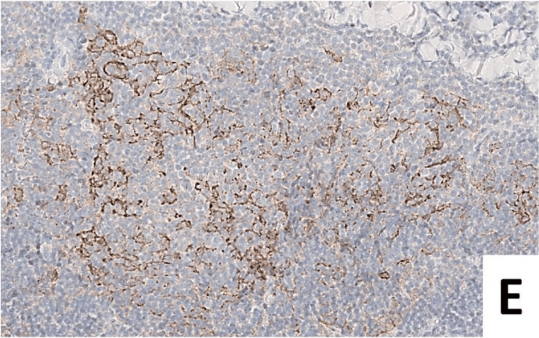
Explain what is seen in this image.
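Brown stain outlines fine, branching, web-like processes forming patchy, loosely connected meshes among densely packed small round cells with blue nuclei, which are themselves unstained. The meshwork is uneven in density and lacks a rounded, sharply bordered shape; no well-demarcated germinal center is formed. Toward the upper edge the network thins and unstained cells predominate, with some pale loose tissue at the margin.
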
